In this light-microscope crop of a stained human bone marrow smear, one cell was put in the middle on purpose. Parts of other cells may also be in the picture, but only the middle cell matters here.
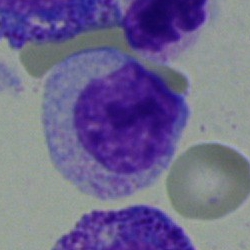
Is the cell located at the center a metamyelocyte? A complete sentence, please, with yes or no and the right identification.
No, the cell at the center of this crop is a myelocyte instead of a metamyelocyte.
